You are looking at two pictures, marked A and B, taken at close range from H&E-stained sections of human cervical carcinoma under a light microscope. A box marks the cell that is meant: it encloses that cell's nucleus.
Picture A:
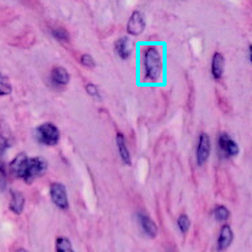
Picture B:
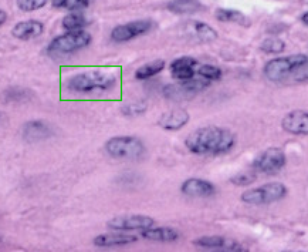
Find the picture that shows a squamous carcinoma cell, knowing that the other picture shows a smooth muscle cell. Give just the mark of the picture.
B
